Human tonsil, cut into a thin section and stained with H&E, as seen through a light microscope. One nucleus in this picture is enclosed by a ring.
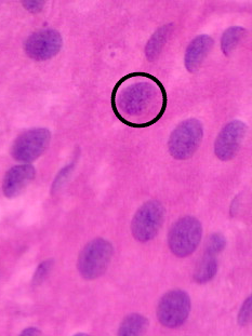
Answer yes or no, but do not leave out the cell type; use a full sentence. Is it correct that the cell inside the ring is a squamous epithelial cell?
Yes, and to confirm, the cell inside the ring is a squamous epithelial cell.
